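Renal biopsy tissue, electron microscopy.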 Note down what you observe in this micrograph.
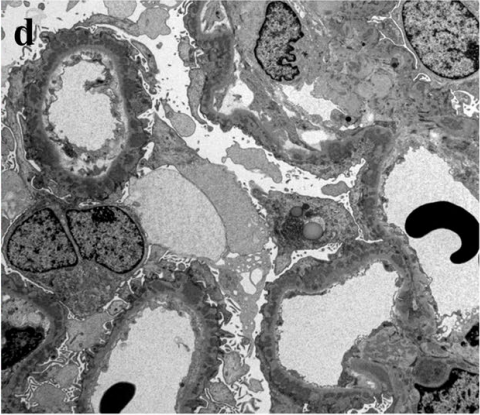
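Glomerular capillary loops in cross-section, with red blood cells in the lumens and nuclei of glomerular cells between the loops. The basement membranes are markedly thickened and carry many dark dense deposits along their outer, subepithelial side.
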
